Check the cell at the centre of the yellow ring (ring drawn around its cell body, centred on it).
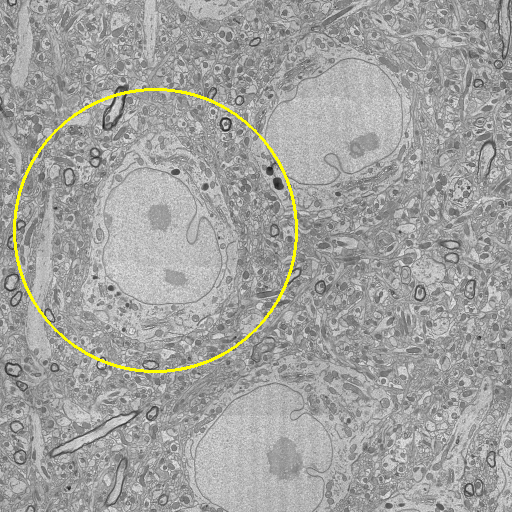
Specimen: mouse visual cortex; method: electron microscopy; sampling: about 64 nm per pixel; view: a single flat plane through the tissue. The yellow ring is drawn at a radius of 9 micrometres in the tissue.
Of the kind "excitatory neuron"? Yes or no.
yes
